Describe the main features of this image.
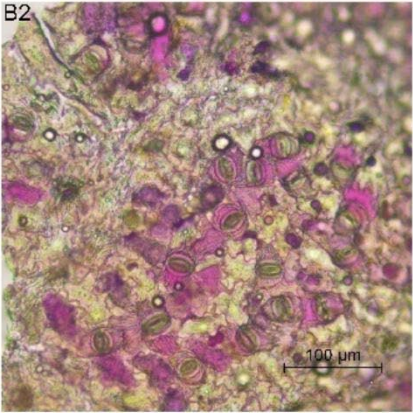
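Many stomata are crowded in the field, each a pair of bean-shaped guard cells around a slit-like pore. Around and between them, many cells are filled with a strong magenta to purple colouring, clustered most densely in the centre of the field. Other cells stay pale or greenish. The cell outlines are thin and irregular, and in places the surface appears torn or disordered.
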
